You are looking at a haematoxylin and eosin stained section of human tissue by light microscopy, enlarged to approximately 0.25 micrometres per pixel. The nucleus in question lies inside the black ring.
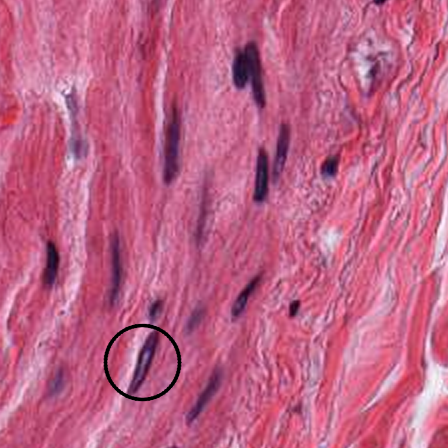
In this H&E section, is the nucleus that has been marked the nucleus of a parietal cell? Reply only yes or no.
no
